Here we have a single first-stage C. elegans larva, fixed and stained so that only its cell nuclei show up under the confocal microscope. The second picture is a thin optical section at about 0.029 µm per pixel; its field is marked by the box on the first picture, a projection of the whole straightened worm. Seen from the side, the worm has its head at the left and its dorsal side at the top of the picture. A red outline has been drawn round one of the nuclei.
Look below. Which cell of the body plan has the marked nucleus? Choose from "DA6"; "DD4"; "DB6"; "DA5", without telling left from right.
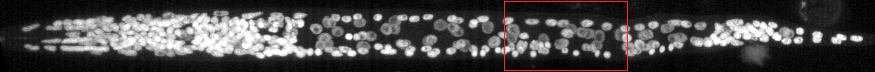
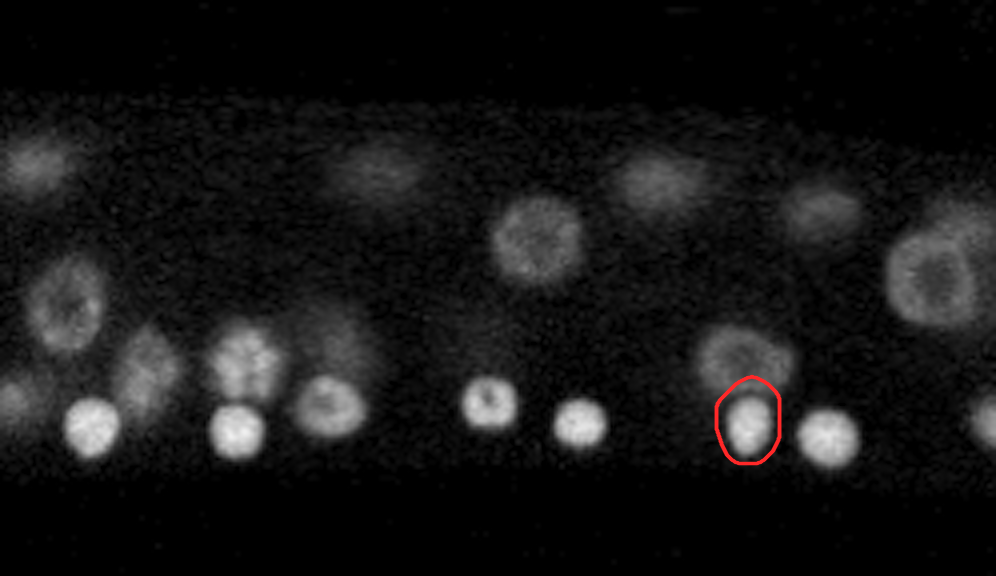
DB6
